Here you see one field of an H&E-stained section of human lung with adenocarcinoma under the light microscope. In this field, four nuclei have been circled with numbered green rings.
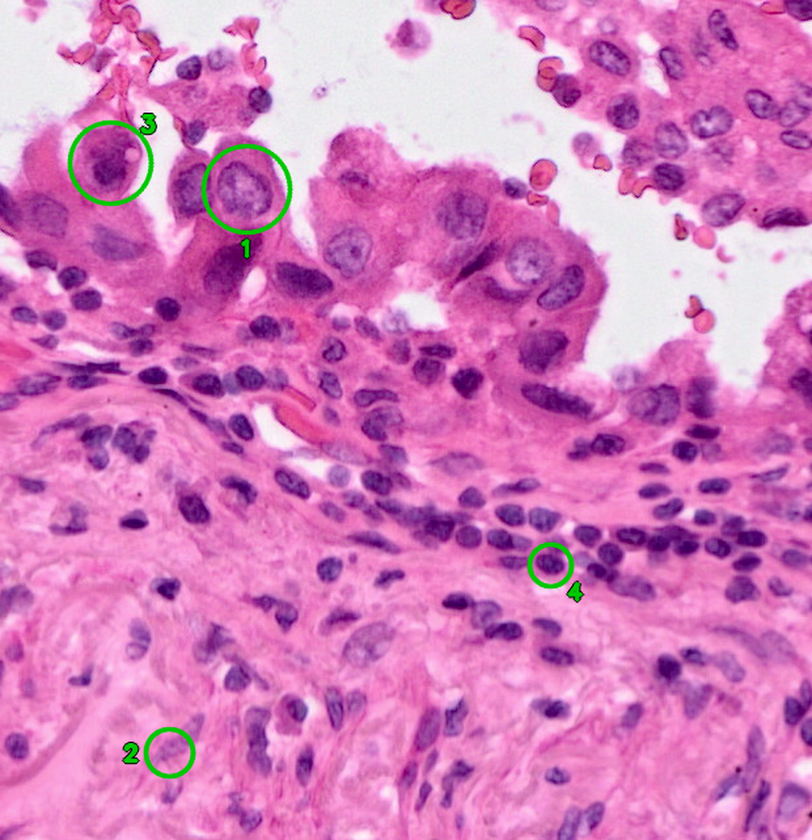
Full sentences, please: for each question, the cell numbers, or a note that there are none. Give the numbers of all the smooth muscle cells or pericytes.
Only nucleus 2 belongs to a smooth muscle cell or pericyte; the other numbered nuclei do not.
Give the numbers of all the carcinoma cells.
So, the cells with numbers 1 and 3 are carcinoma cells.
